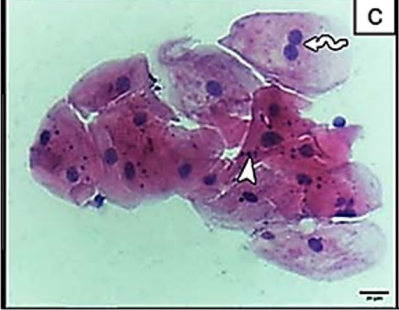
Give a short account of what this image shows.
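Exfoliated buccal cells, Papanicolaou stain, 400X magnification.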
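The cells have broad, thin cytoplasm stained pink to purple, with sharp angular borders and folds where they overlap. One cell at the upper right holds two round nuclei side by side, a binucleated cell. Elsewhere a cell bears a small dark body next to its main nucleus.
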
